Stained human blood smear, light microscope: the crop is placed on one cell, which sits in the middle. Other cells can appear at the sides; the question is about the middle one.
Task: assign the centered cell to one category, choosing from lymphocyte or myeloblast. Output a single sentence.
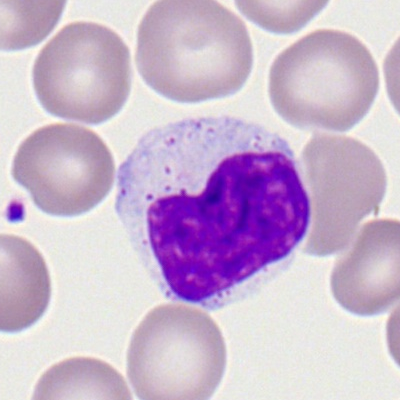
In the centre of this crop there is a lymphocyte.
